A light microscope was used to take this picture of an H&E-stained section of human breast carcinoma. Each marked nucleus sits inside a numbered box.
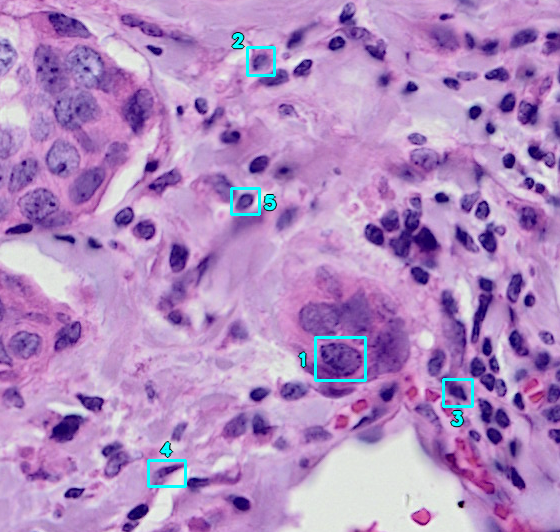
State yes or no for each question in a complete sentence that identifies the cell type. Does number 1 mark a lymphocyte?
No, cell 1 is a carcinoma cell; it is not a lymphocyte.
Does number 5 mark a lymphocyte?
Yes, regarding cell number 5, it is a lymphocyte.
